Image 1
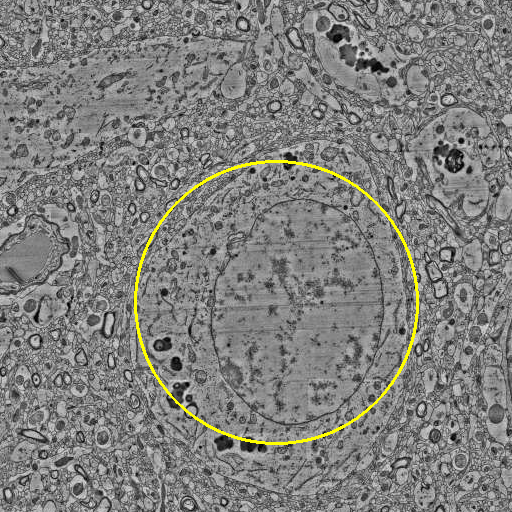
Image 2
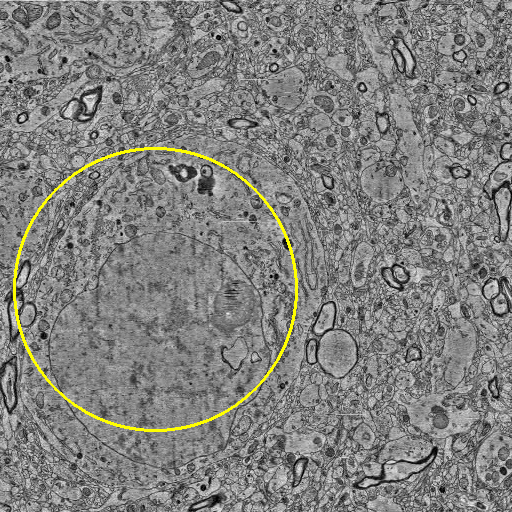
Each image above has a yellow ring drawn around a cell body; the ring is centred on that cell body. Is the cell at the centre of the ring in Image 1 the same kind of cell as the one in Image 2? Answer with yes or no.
yes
